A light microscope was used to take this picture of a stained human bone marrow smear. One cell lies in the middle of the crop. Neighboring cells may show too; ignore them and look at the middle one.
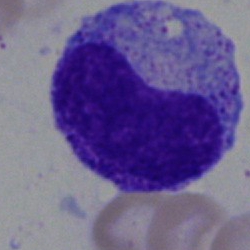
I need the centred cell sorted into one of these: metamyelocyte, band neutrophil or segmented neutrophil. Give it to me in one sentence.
At the center of the crop sits a metamyelocyte.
